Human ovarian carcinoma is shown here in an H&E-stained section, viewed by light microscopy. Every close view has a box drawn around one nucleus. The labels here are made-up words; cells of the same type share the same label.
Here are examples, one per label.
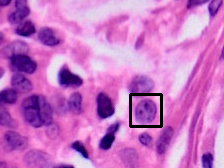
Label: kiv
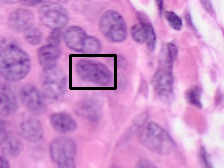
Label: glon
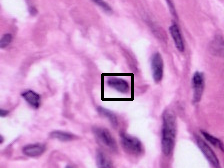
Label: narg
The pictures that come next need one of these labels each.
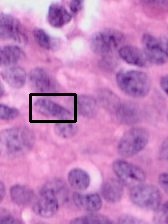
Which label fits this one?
glon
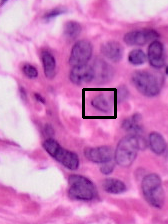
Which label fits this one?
kiv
